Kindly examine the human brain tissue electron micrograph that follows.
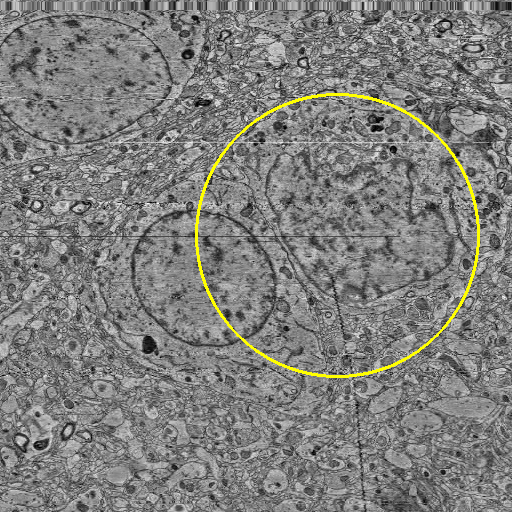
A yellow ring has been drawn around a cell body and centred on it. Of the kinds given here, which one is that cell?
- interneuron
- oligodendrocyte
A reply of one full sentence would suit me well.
The micrograph's ringed cell, the one at the ring's centre, is an interneuron.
